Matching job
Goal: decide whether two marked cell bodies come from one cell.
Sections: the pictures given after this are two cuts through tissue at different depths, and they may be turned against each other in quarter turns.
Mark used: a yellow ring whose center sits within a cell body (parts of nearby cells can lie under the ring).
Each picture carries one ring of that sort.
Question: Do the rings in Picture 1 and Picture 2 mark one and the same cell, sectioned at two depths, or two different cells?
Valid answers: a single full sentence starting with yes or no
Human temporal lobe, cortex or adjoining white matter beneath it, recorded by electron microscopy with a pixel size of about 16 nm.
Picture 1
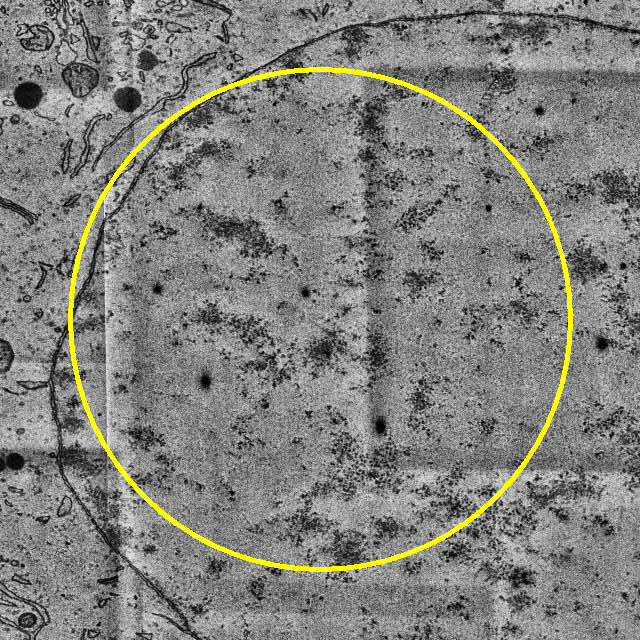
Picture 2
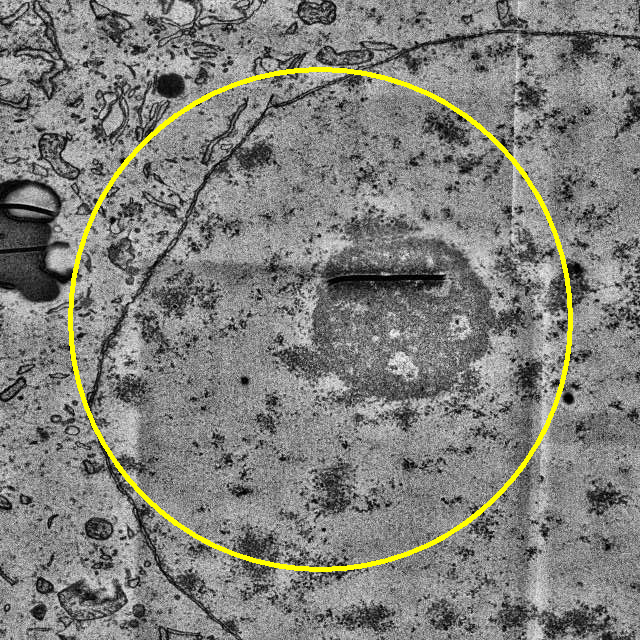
Yes, what the two rings mark is one cell.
